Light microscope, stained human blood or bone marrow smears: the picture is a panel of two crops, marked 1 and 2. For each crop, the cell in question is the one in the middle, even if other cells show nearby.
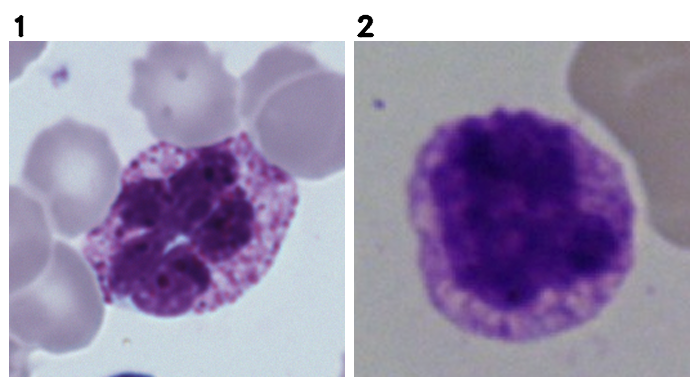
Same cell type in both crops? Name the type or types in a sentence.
Yes, both crops do show basophils in the middle.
